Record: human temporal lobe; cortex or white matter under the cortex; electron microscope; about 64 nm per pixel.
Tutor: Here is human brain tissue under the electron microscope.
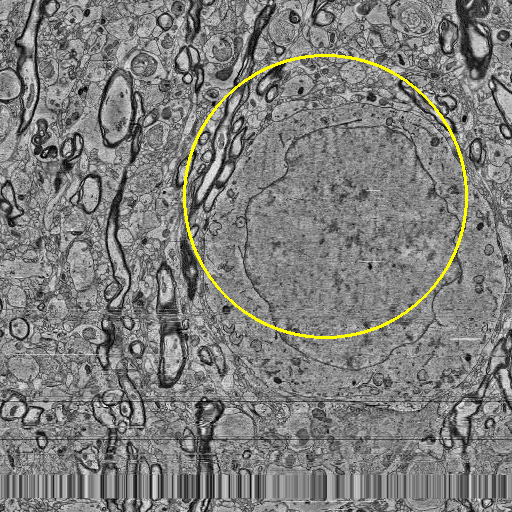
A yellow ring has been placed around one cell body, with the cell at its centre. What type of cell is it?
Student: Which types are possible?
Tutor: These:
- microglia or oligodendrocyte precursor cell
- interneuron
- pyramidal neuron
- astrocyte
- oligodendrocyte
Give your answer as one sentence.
What the ring picks out here is a pyramidal neuron.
